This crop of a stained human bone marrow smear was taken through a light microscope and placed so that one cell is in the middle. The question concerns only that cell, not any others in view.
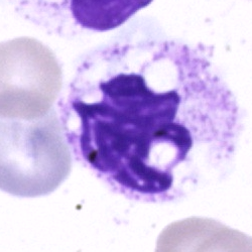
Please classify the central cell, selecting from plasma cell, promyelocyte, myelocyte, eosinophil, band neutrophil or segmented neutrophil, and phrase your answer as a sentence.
In the centre of this crop there is a segmented neutrophil.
